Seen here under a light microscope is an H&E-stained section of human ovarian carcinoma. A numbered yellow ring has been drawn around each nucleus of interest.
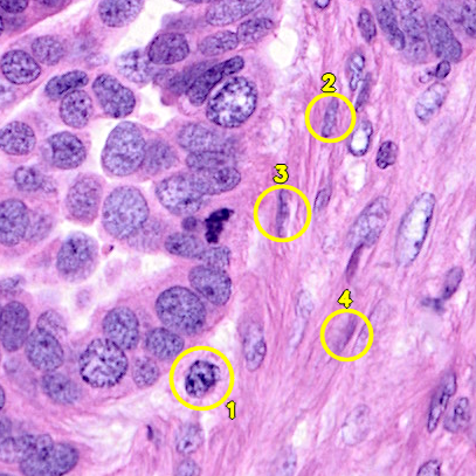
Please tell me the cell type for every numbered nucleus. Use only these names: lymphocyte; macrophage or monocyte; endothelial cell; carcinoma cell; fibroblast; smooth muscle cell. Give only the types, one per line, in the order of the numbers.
macrophage or monocyte
fibroblast
fibroblast
fibroblast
